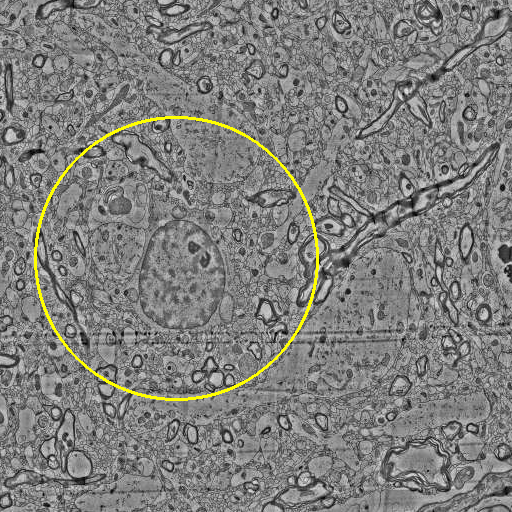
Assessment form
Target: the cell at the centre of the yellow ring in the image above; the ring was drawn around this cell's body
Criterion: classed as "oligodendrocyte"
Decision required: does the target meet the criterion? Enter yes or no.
yes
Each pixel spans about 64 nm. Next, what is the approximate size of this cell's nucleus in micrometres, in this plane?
The nucleus comes to roughly 7 by 6 micrometres in this plane.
